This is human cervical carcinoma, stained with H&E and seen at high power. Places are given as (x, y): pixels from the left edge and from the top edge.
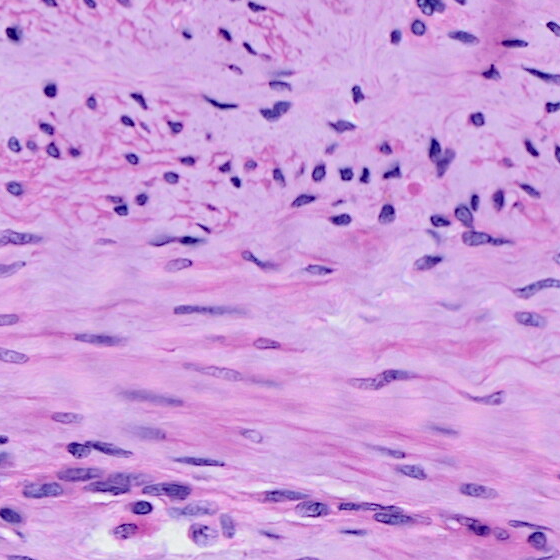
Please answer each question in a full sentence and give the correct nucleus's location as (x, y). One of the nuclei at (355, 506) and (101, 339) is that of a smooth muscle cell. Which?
The nucleus at (101, 339) is the one of the two that belongs to a smooth muscle cell.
